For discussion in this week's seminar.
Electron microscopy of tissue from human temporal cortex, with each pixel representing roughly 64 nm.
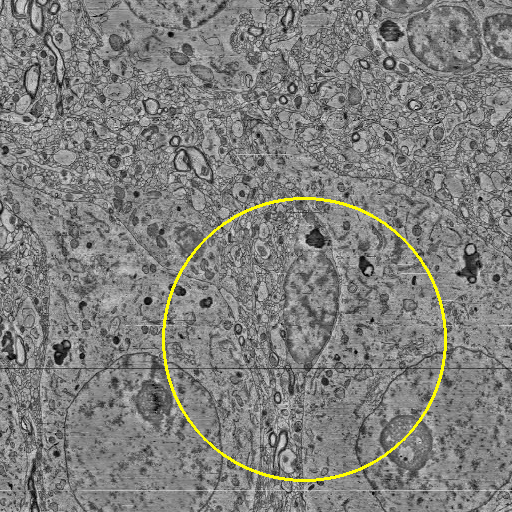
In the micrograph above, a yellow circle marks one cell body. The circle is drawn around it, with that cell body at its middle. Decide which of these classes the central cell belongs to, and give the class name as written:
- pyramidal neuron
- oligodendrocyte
oligodendrocyte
